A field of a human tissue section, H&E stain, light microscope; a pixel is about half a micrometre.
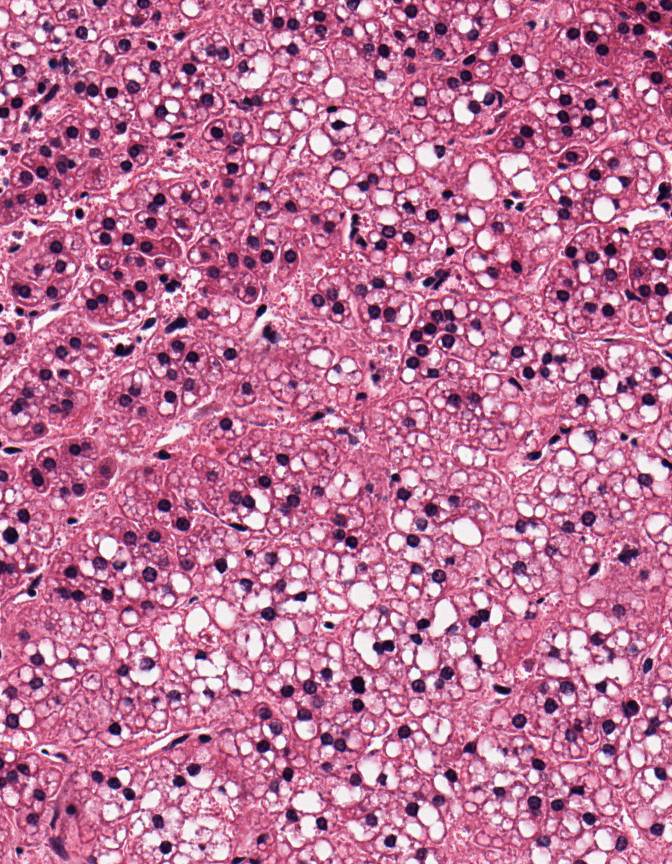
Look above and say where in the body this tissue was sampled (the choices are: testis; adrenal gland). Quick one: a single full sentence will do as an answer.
This tissue specimen derives from the adrenal gland.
